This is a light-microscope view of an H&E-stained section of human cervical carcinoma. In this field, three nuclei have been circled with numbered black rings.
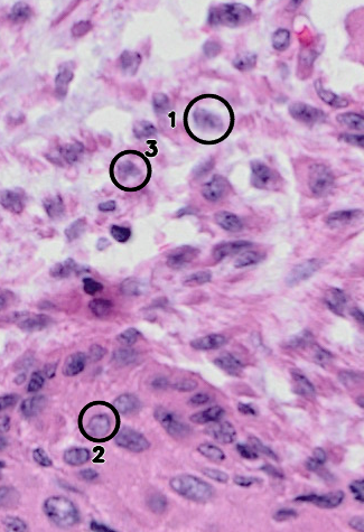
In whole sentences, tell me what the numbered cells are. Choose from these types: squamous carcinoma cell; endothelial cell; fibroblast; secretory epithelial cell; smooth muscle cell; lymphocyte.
Cells 1 and 3 are fibroblasts. Cell 2 is a squamous carcinoma cell.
